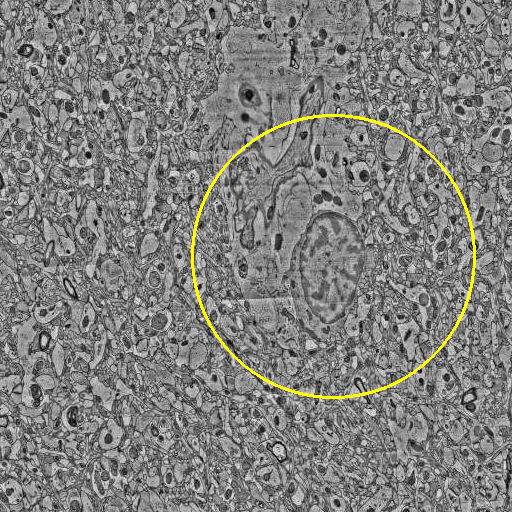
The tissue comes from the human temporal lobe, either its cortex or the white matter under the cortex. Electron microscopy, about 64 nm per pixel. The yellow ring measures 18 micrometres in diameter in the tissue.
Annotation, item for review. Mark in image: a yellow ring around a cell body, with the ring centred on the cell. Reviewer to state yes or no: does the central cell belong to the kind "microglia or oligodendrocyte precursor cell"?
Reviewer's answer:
no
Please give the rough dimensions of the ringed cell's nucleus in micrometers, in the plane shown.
At approximately 7 by 4 micrometres, the nucleus is clearly longer than it is wide in this plane.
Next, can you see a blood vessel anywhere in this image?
Yes, there is a blood vessel in the image.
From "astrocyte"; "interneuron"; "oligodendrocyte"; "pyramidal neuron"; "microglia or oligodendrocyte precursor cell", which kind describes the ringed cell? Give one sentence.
The cell in the ring is an oligodendrocyte instead.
